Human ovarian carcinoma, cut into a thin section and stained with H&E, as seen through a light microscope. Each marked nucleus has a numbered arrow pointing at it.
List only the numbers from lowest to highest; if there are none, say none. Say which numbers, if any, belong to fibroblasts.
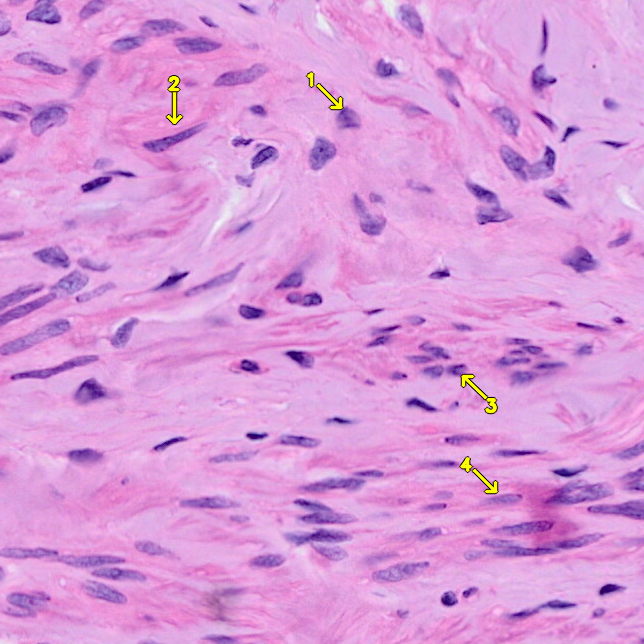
1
